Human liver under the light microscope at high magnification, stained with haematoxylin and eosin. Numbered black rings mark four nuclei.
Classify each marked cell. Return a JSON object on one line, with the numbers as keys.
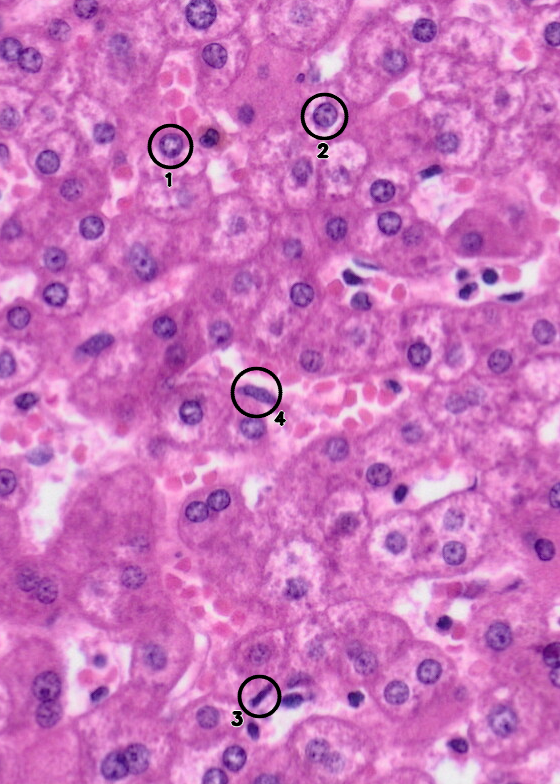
{"1": "hepatocyte", "2": "hepatocyte", "3": "fibroblast or stellate cell", "4": "Kupffer cell"}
